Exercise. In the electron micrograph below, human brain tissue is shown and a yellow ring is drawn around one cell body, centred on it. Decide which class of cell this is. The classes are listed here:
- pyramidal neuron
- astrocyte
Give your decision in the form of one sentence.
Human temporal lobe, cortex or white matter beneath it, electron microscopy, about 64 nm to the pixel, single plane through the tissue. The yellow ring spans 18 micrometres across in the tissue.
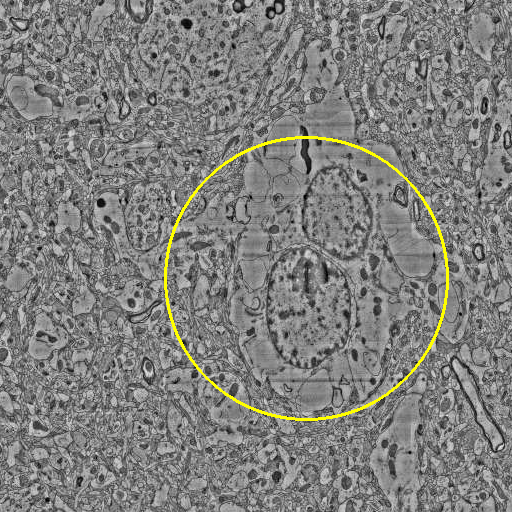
The cell body marked by the ring belongs to an astrocyte.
